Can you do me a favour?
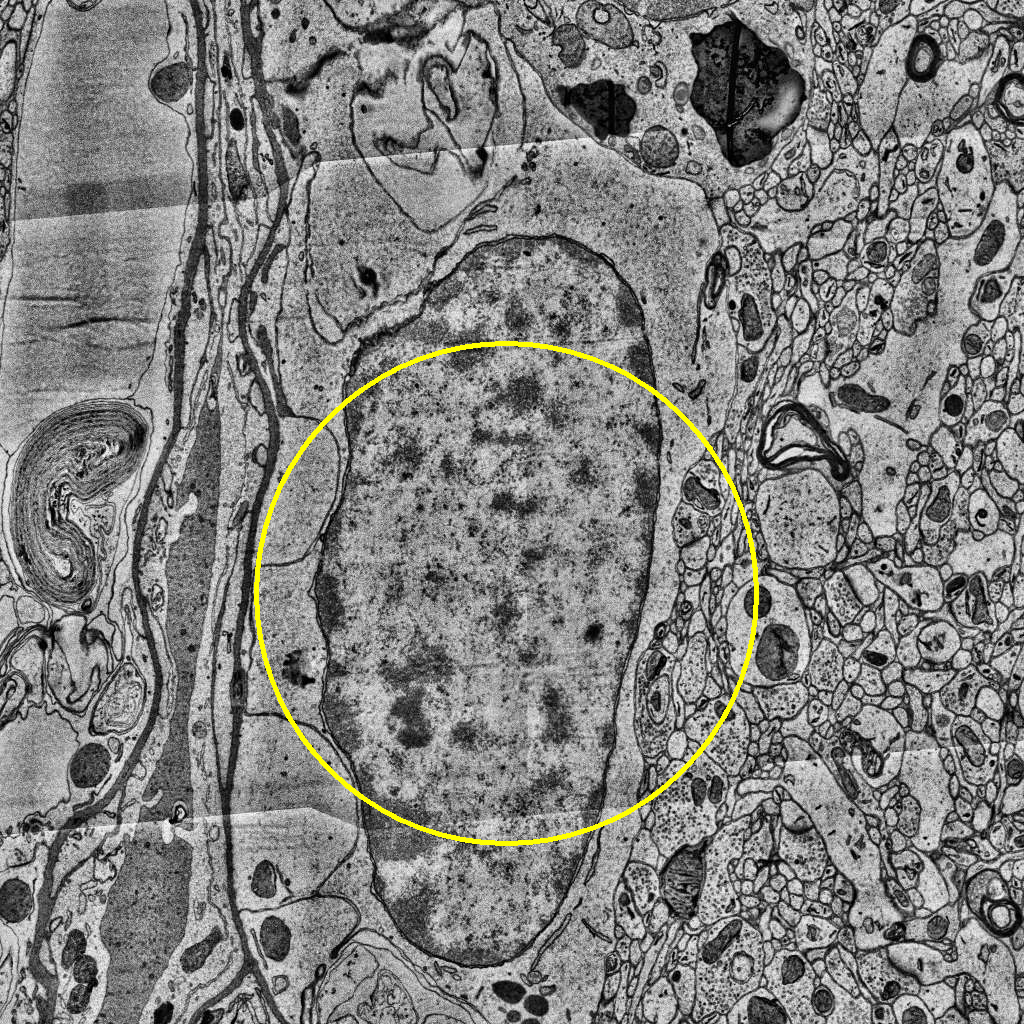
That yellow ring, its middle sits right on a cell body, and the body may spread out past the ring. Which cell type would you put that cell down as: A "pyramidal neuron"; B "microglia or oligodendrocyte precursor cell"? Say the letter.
B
